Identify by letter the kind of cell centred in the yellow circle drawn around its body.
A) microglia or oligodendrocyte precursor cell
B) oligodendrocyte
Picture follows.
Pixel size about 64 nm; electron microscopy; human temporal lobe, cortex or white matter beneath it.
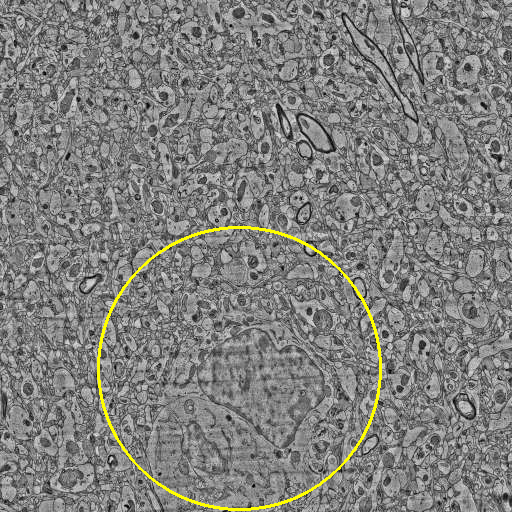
A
